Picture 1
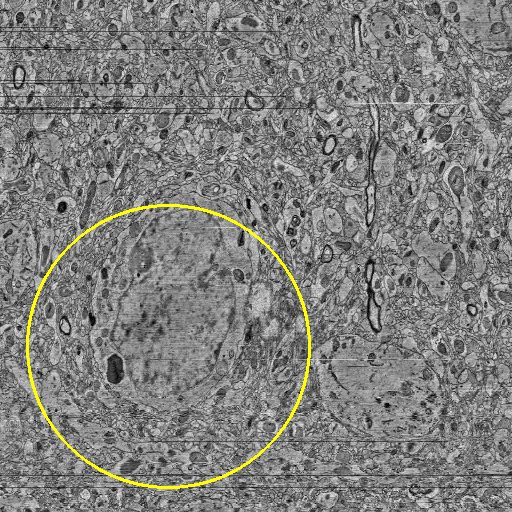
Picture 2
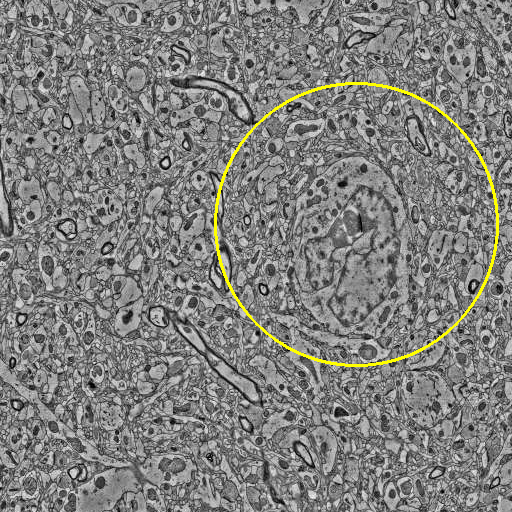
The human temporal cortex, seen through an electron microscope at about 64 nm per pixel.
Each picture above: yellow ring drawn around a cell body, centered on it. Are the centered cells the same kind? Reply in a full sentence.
Yes, the two cells are the same kind.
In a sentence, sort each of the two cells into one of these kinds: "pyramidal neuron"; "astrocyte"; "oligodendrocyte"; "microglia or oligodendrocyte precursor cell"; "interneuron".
The second cell is an interneuron, just as the first is.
